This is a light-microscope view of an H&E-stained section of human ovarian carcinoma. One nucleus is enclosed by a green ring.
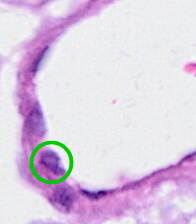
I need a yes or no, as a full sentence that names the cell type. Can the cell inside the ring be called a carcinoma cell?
No, that is wrong: the cell inside the ring is an endothelial cell, not a carcinoma cell.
